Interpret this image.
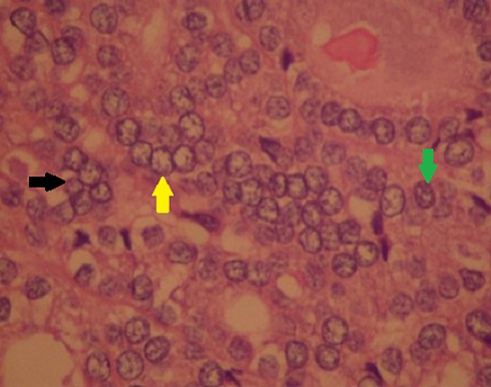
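This high-power view shows sheets of tumour epithelial cells with strikingly abnormal nuclei. Many nuclei lie crowded together and overlap, with little pink cytoplasm between them. A few small, dark, elongated nuclei lie between the tumour cells, and a pink-filled space appears at the top.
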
